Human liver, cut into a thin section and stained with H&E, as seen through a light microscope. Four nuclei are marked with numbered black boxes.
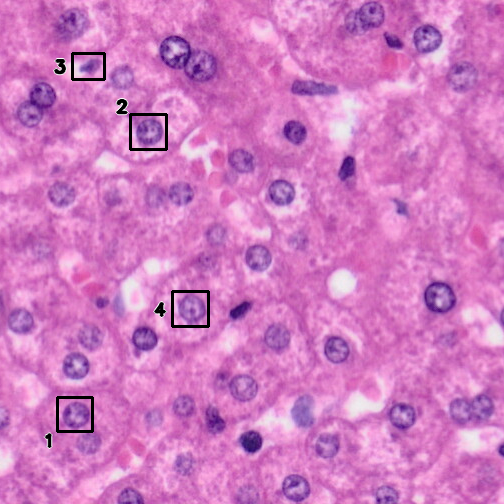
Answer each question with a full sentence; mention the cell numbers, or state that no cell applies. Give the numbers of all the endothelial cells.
The nucleus numbered 3 is the only one that belongs to an endothelial cell.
